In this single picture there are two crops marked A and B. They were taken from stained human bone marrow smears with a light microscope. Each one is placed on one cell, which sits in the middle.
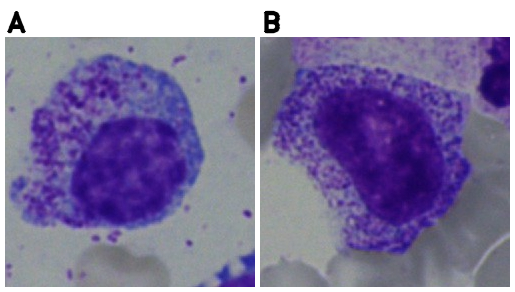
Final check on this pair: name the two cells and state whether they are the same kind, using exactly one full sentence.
Yes, both crops depict myelocytes at the centre.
